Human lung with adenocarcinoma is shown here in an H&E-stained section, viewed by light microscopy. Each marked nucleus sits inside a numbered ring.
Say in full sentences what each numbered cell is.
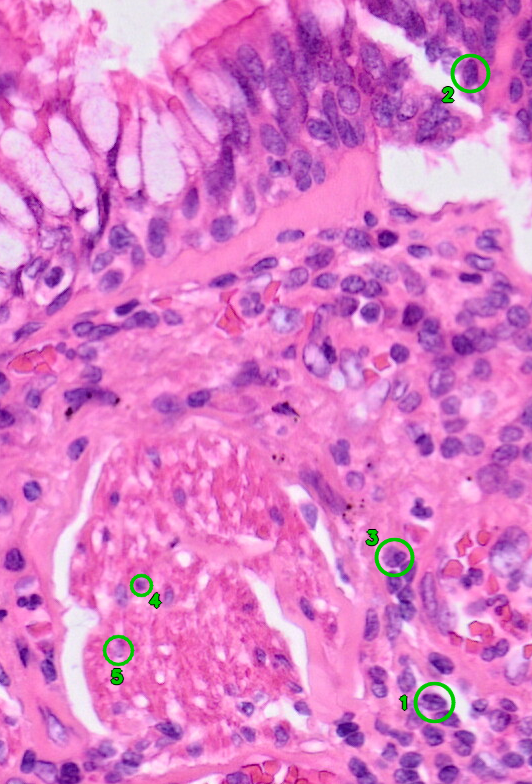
Cells 1 and 3 are lymphocytes. Cell 2 is a ciliated epithelial cell. Cells 4 and 5 are smooth muscle cells or pericytes.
